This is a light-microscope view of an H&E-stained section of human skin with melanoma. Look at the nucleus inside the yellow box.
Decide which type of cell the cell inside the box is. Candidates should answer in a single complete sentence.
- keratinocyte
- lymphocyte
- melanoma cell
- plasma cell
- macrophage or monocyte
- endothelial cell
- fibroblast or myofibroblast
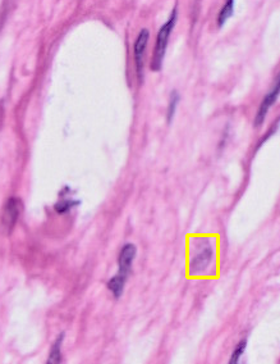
To be brief about it, the cell inside the box is a fibroblast or myofibroblast.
